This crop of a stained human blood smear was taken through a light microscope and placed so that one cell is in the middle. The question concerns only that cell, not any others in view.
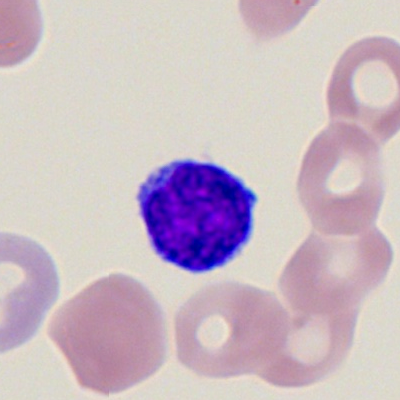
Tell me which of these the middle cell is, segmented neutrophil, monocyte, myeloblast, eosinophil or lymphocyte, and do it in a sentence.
The cell in the middle of this crop is a lymphocyte.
